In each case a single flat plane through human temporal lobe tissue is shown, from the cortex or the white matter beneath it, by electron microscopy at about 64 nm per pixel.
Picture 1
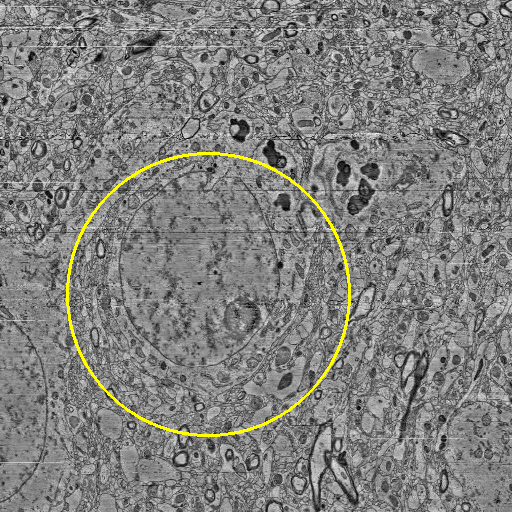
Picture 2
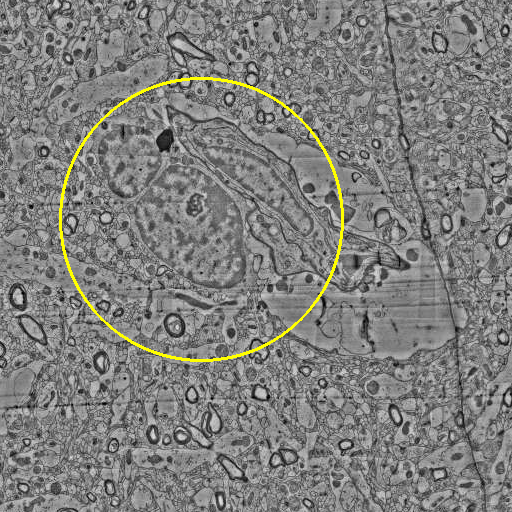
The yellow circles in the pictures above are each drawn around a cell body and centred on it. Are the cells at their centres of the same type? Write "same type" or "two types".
two types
